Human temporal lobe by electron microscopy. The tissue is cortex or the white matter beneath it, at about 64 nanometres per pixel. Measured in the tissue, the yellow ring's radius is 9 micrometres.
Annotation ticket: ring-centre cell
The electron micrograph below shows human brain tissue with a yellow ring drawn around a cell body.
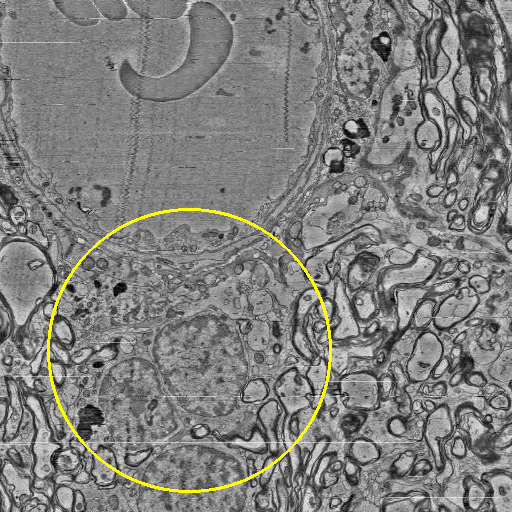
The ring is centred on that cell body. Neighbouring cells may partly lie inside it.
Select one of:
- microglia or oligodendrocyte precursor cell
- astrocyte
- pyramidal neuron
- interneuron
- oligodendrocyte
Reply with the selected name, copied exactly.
oligodendrocyte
